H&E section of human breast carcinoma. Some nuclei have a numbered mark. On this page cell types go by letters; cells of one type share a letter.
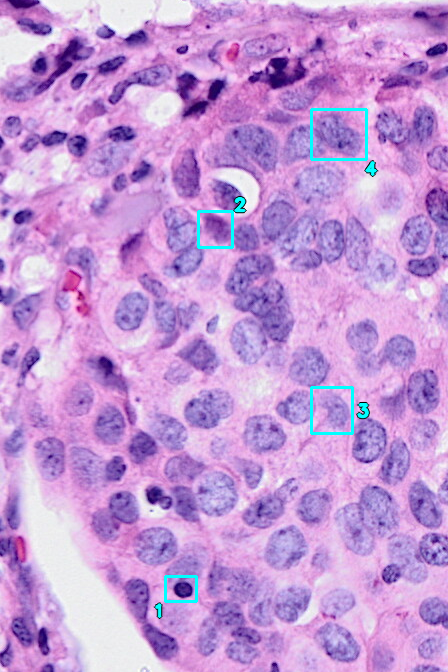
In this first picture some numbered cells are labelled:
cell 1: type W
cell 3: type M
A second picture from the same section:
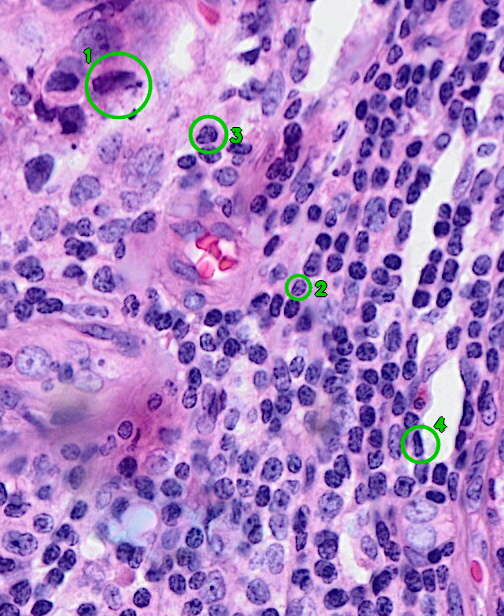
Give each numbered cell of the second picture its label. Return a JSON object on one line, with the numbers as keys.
{"1": "type M", "2": "type W", "3": "type W", "4": "type W"}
